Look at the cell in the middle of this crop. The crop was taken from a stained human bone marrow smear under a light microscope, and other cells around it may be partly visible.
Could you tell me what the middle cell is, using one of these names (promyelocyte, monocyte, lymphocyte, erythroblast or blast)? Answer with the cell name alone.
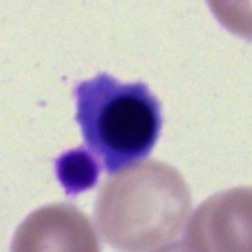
erythroblast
